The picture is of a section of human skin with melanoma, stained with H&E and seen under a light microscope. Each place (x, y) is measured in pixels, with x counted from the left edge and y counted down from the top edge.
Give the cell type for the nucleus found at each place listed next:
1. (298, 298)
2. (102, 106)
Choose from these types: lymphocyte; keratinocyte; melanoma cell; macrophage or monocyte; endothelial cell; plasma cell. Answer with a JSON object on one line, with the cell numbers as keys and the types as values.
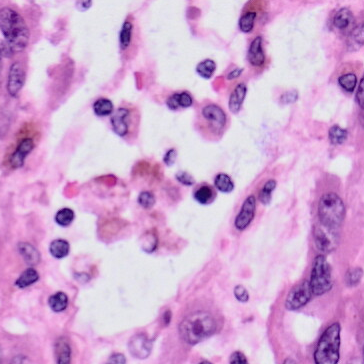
{"1": "melanoma cell", "2": "lymphocyte"}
